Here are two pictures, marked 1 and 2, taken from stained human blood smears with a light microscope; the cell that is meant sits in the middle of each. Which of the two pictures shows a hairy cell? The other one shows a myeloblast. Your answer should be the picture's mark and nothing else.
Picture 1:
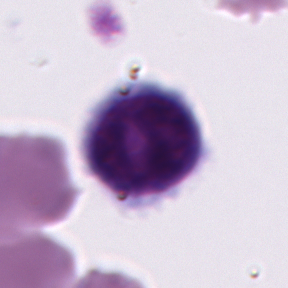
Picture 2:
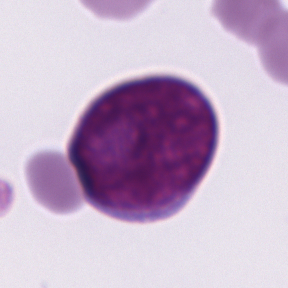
1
